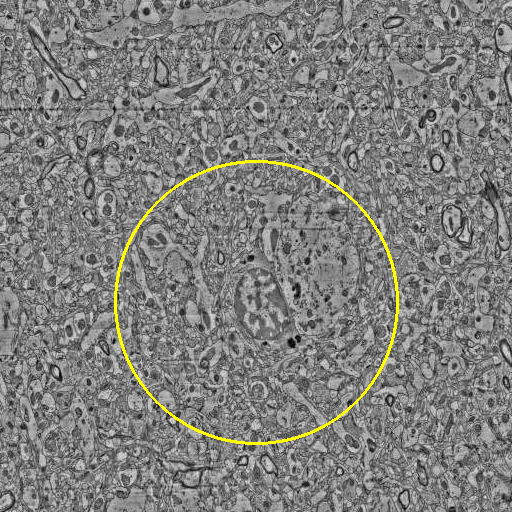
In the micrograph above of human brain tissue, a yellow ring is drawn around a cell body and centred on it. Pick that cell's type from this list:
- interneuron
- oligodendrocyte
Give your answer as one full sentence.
Going by the list, an oligodendrocyte is the cell on which the yellow ring is centred.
